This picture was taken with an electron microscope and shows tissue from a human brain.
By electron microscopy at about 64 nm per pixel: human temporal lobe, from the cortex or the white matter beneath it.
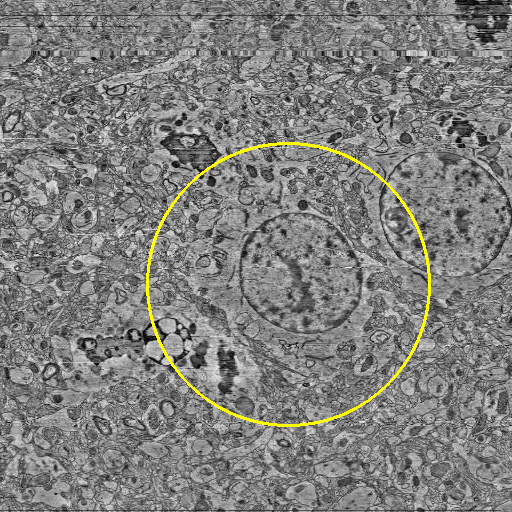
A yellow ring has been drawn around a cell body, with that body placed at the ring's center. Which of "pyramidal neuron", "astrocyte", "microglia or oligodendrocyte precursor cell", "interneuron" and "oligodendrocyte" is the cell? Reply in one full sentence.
In this picture, an astrocyte is the cell at the center of the yellow ring.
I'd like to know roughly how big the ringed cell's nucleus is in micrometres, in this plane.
The nucleus measures about 8 micrometers across in this plane.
